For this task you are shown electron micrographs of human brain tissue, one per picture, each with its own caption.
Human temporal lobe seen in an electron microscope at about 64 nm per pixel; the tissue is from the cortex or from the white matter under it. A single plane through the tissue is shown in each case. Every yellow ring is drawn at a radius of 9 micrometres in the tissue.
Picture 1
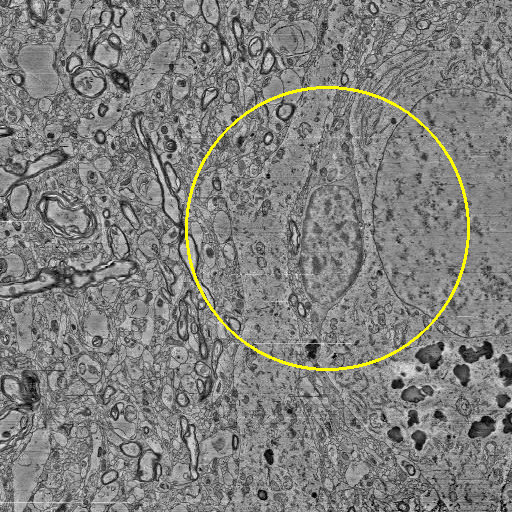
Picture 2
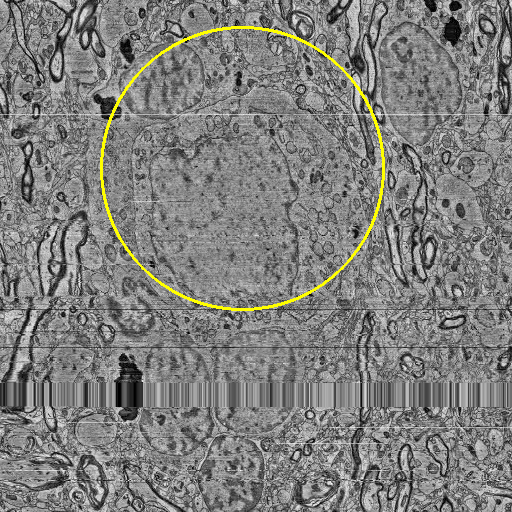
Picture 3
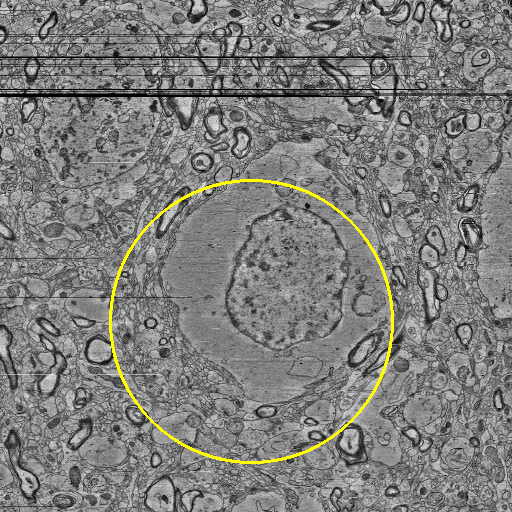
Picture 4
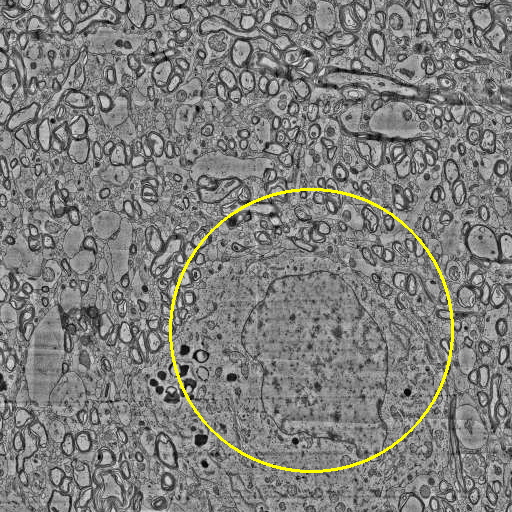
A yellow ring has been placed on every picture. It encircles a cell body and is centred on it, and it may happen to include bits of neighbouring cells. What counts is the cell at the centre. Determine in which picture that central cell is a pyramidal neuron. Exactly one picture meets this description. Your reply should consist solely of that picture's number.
4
